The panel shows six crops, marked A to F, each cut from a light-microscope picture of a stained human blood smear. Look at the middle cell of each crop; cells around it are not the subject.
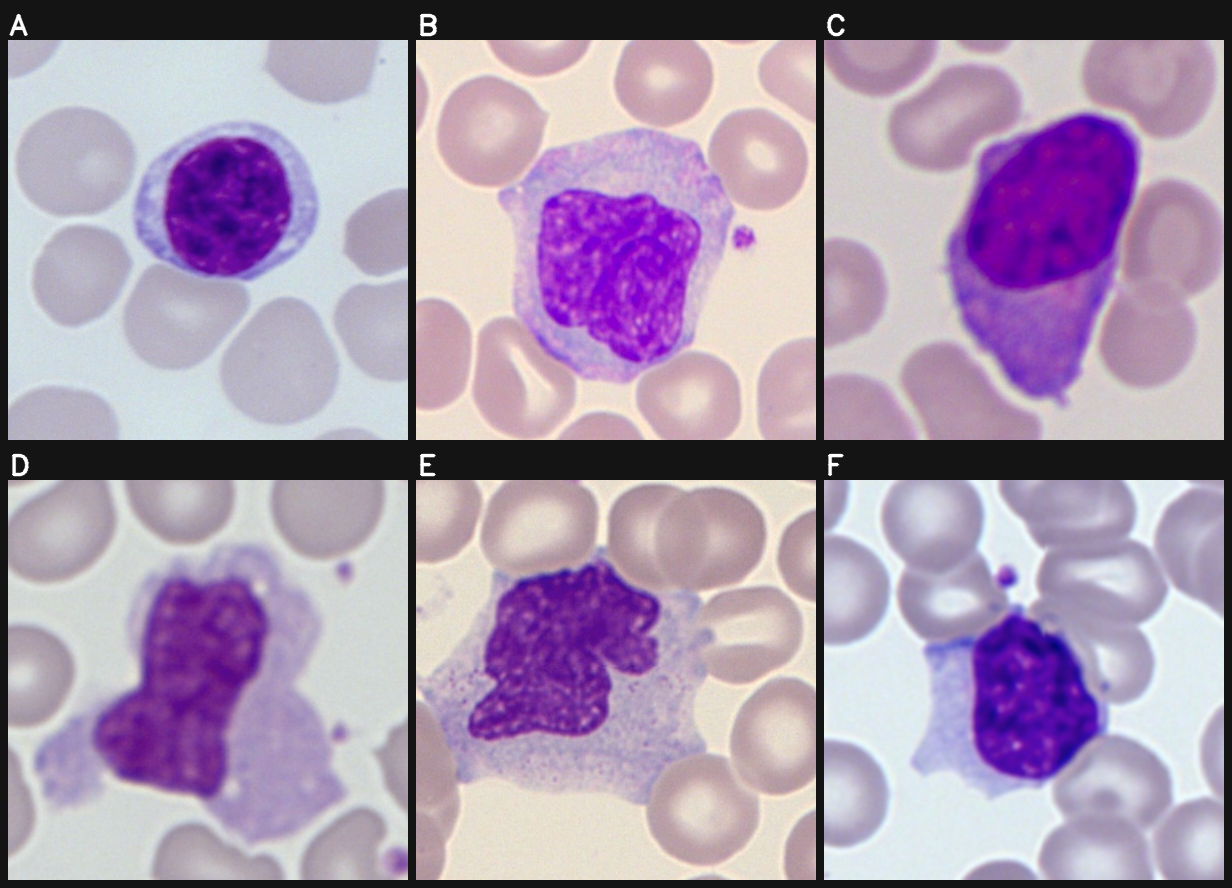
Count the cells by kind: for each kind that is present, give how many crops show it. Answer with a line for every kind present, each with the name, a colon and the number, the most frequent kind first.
monocyte: 3
lymphocyte: 2
myeloblast: 1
